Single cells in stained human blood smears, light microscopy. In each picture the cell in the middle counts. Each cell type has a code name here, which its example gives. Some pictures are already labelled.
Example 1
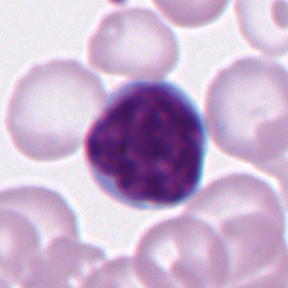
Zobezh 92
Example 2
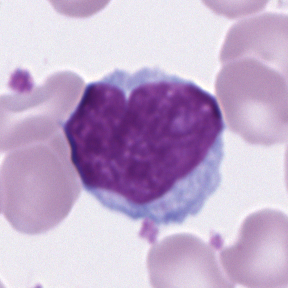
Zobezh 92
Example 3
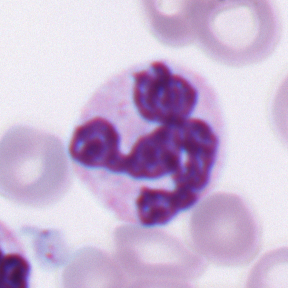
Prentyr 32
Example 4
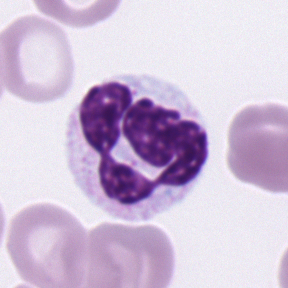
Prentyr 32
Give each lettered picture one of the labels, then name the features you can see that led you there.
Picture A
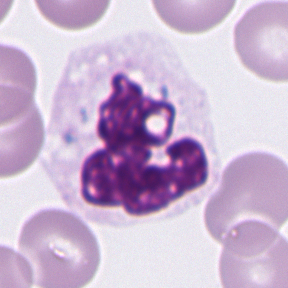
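Prentyr 32. Evidence: The cytoplasm is abundant and very pale lilac.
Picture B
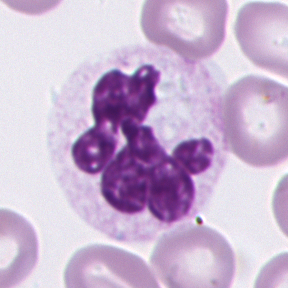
Prentyr 32. Evidence: A broad rim of pale pinkish-lilac cytoplasm surrounds the nucleus.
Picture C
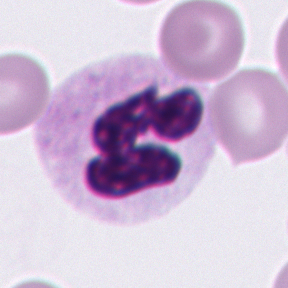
Prentyr 32. Evidence: Abundant pale pinkish-lilac cytoplasm surrounds the nucleus on all sides.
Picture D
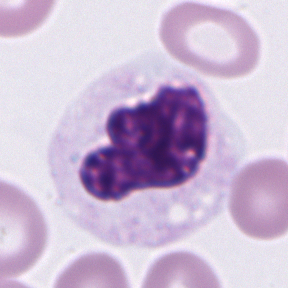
Prentyr 32. Evidence: The cytoplasm is abundant, forming a wide rim around the nucleus.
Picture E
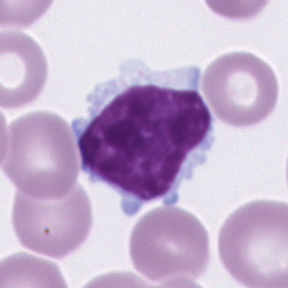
Zobezh 92. Evidence: The cytoplasm forms only a scant rim around the nucleus.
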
